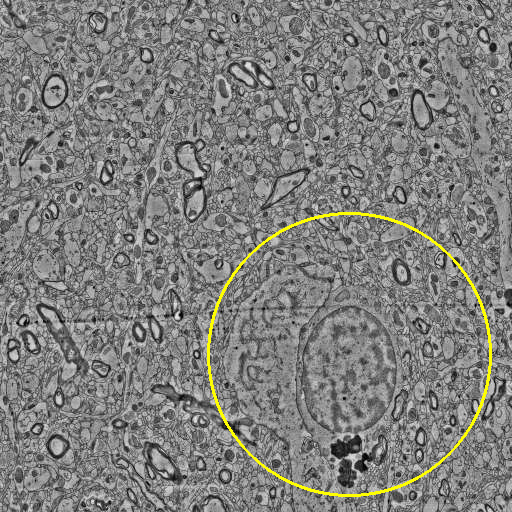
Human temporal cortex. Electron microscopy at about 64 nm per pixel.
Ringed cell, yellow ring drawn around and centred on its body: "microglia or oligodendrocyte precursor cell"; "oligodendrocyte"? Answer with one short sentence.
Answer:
This ringed cell is an oligodendrocyte.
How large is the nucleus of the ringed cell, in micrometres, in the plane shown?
Roughly 8 micrometres by 7 micrometres, in this plane.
